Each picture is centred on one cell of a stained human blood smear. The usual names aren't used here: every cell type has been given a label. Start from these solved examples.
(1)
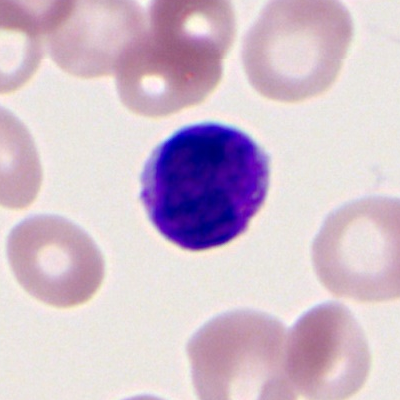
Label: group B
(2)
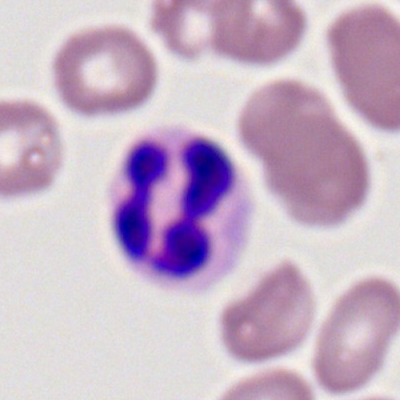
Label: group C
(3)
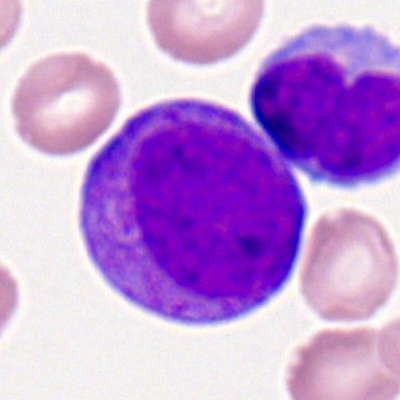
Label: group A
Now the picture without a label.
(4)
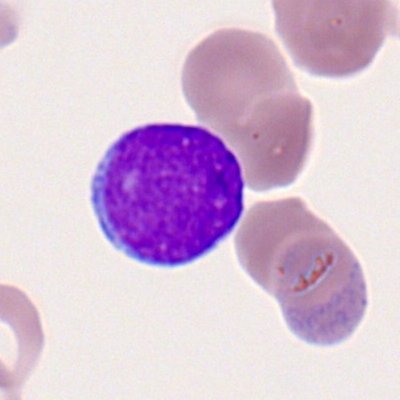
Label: group A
